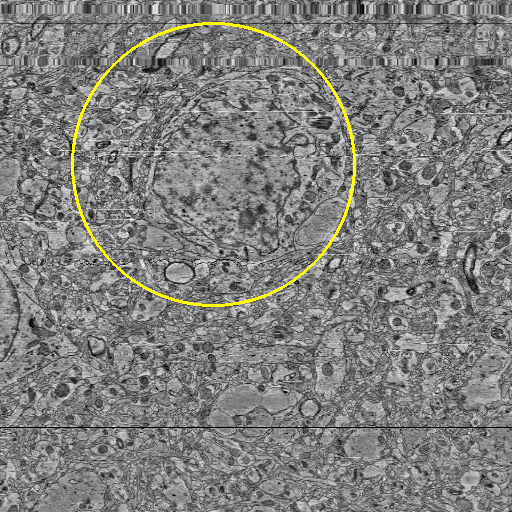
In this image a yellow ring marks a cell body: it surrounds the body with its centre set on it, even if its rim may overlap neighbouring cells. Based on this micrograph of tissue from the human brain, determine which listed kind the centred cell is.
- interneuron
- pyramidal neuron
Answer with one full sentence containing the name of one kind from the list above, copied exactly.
It is an interneuron whose body the yellow ring encloses at its centre.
